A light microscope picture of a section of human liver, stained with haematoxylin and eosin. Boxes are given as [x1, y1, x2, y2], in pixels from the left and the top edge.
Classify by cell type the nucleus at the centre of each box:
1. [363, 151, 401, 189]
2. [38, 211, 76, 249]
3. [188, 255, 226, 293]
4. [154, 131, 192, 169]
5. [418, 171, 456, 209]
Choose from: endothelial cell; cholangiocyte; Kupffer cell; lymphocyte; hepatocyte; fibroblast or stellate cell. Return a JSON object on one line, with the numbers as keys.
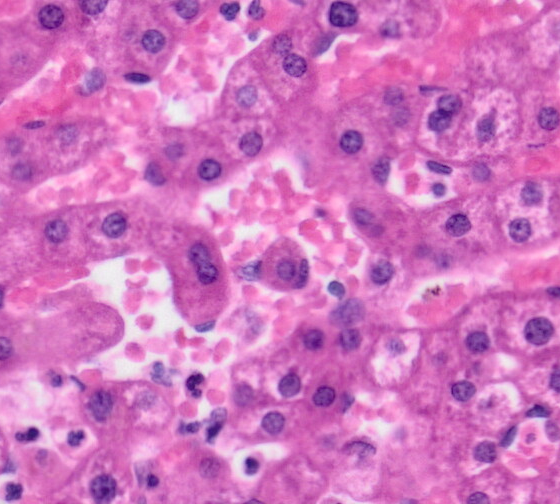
{"1": "endothelial cell", "2": "hepatocyte", "3": "hepatocyte", "4": "hepatocyte", "5": "lymphocyte"}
